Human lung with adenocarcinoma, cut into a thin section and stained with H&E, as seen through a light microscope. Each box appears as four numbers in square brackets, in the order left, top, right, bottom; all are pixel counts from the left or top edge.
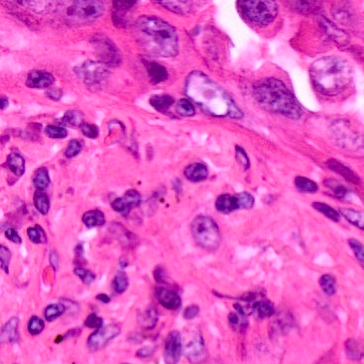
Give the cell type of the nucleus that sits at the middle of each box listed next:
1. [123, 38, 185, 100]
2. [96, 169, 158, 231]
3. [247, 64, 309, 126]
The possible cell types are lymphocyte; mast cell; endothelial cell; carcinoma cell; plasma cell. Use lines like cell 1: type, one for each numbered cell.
cell 1: carcinoma cell
cell 2: plasma cell
cell 3: carcinoma cell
